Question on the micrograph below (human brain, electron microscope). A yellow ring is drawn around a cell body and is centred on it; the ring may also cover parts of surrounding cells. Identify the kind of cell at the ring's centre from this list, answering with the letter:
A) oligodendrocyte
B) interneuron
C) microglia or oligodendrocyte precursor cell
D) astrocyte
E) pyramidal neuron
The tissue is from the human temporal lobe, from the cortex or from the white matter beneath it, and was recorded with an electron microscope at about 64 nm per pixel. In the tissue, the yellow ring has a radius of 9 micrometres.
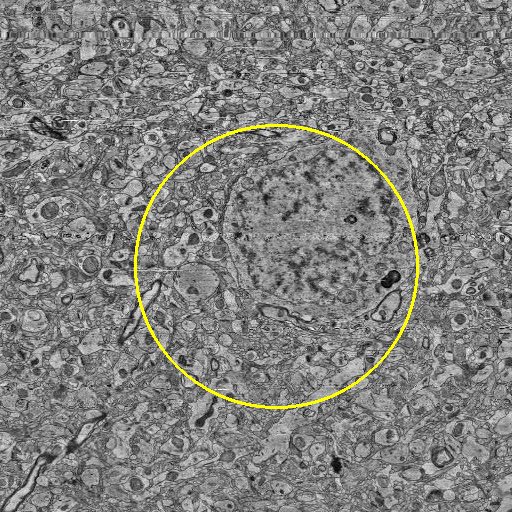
B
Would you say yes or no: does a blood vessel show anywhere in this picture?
No, there is none.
